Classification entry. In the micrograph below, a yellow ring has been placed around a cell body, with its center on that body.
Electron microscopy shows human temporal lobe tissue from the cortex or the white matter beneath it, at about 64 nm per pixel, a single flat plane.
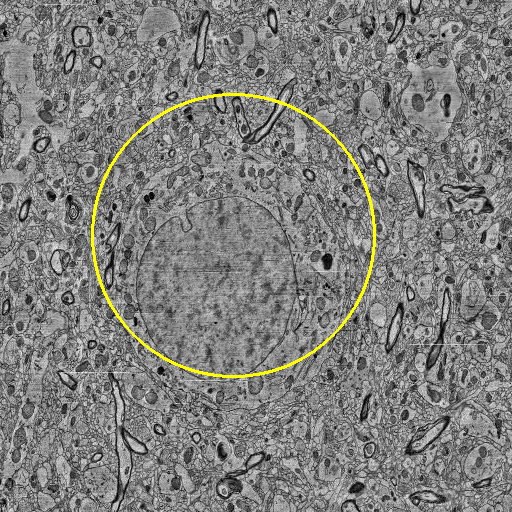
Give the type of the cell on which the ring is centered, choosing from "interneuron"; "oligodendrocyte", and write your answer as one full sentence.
The cell body at the center of the yellow ring belongs to an interneuron.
